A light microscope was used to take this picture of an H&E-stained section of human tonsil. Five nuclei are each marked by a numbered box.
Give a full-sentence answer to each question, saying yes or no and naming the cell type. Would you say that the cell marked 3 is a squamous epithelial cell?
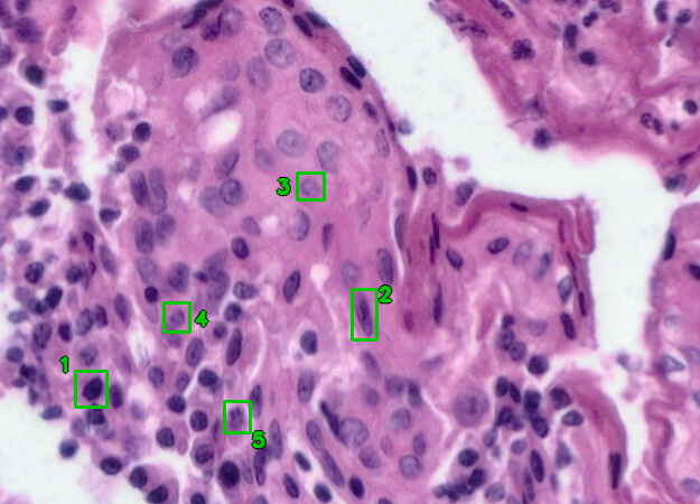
Yes, the cell carrying number 3 is a squamous epithelial cell.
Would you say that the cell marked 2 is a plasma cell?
No, cell 2 represents a squamous epithelial cell rather than a plasma cell.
